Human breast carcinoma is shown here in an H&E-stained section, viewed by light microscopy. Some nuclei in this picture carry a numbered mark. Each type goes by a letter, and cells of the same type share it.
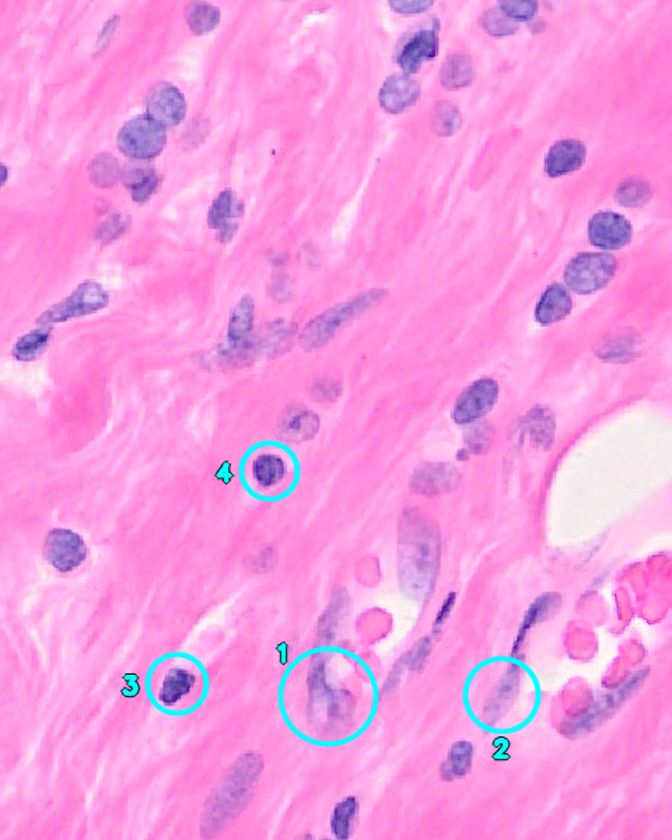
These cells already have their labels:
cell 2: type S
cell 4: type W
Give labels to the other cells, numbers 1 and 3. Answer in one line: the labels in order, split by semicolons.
type S; type W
